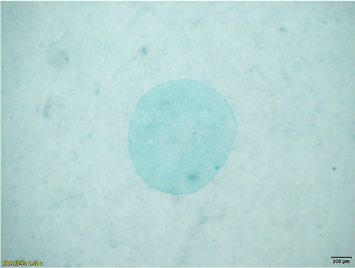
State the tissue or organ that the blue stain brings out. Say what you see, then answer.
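A round, evenly bluish-green stained mass lies in the centre. The mass has a smooth, sharply bounded edge. On this evidence: cartilage.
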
